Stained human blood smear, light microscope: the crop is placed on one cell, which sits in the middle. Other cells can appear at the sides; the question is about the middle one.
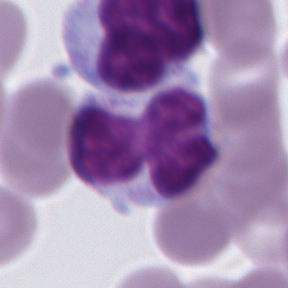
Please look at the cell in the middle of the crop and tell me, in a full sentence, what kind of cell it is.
Framed in the middle of the crop is a large granular lymphocyte.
